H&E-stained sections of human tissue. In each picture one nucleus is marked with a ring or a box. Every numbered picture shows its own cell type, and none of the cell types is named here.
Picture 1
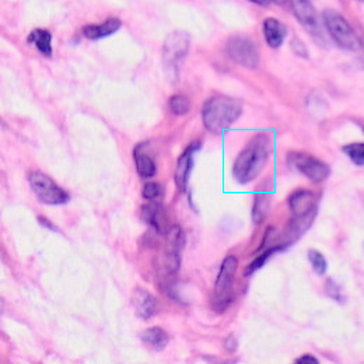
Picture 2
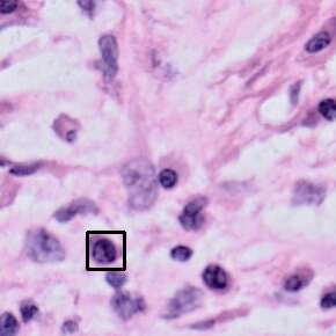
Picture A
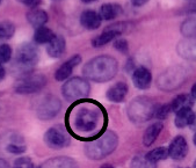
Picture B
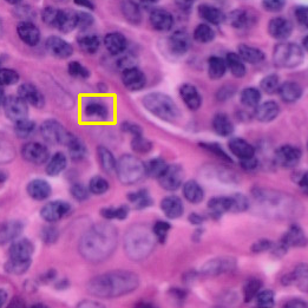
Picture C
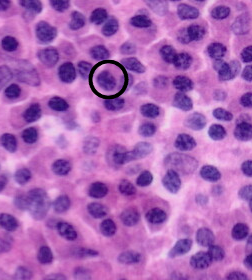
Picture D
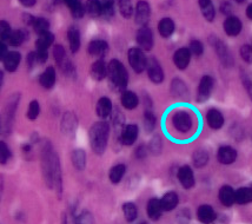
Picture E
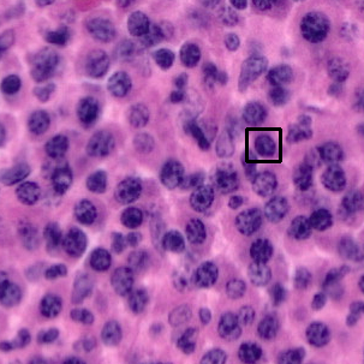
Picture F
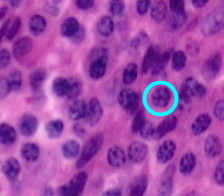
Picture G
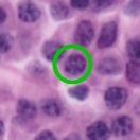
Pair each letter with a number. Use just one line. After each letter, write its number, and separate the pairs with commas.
A 1, B 1, C 2, D 2, E 2, F 2, G 2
